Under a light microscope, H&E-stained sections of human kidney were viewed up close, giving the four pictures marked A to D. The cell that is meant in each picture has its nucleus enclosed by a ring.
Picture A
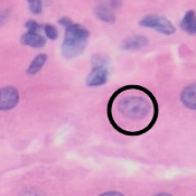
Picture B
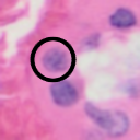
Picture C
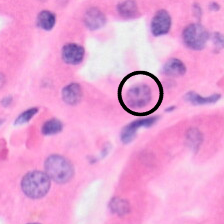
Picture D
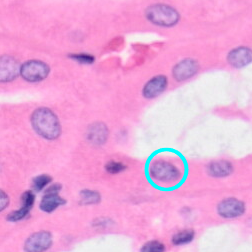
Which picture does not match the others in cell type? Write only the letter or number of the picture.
A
